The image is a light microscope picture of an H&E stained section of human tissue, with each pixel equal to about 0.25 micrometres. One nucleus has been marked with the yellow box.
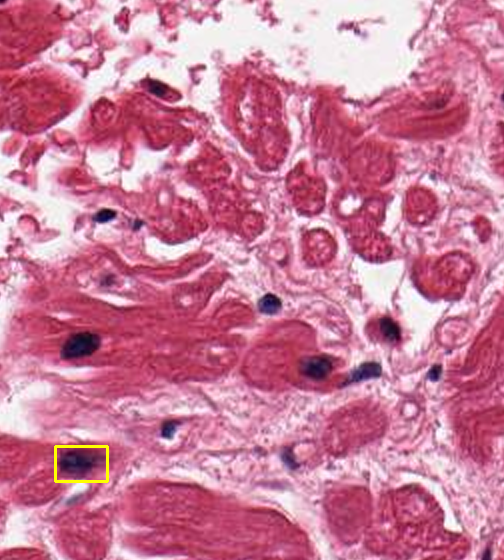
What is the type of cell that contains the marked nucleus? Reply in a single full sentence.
The owner of the marked nucleus is a cardiomyocyte.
